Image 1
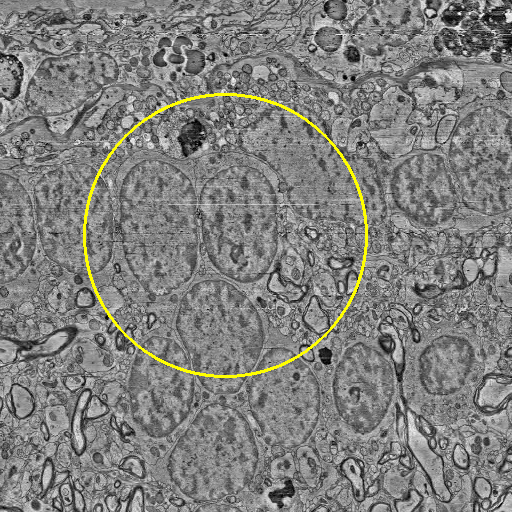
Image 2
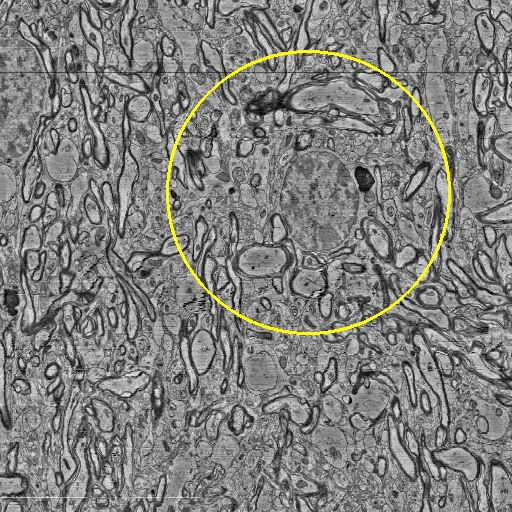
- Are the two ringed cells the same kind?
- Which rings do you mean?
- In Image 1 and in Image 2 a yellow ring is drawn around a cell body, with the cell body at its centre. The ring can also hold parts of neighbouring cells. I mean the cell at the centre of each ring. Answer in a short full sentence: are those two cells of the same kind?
Yes, both cells are of the same kind.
